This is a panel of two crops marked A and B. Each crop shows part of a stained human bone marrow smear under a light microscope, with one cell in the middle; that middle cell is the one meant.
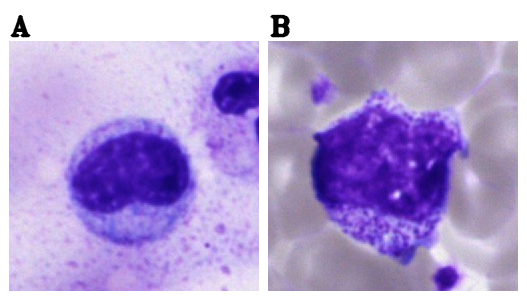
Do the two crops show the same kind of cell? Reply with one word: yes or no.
no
